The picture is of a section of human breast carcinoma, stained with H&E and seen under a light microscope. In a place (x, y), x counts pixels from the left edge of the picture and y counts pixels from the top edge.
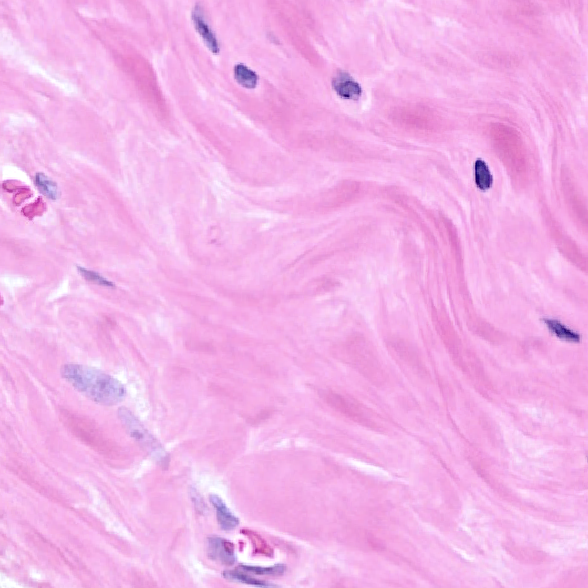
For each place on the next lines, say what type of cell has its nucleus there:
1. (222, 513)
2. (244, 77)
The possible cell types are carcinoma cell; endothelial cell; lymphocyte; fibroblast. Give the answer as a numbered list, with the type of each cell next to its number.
1. endothelial cell
2. lymphocyte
